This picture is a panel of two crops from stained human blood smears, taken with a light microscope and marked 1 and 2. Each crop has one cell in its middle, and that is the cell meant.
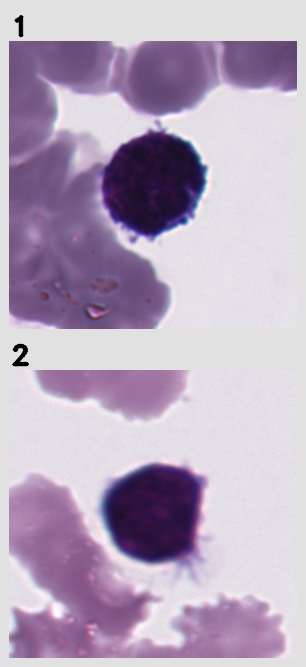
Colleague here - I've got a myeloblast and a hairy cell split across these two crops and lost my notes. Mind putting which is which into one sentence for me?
What is seen in crop 1 is a myeloblast; what is seen in crop 2 is a hairy cell.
